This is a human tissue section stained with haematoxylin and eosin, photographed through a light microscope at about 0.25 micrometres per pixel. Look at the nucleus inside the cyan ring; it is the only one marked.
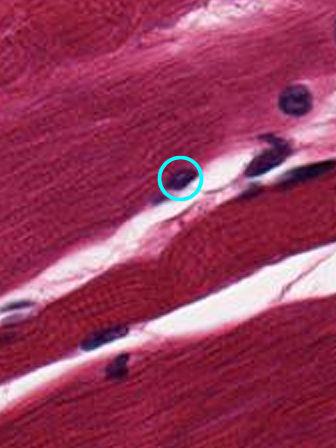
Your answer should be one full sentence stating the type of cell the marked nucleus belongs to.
In this picture, the marked nucleus belongs to a skeletal muscle fibre.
